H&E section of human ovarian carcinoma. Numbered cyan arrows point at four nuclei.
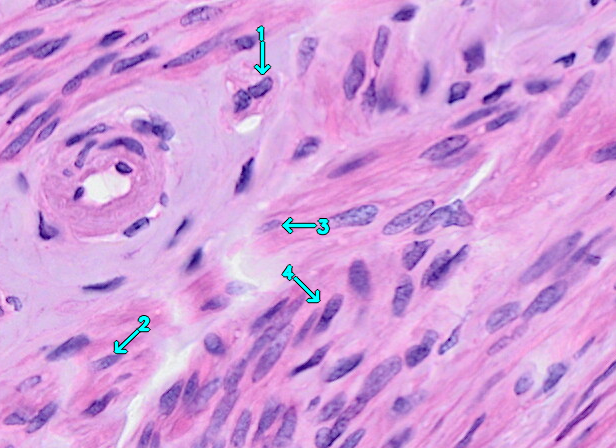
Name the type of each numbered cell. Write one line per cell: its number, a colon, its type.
1: endothelial cell
2: smooth muscle cell
3: smooth muscle cell
4: smooth muscle cell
